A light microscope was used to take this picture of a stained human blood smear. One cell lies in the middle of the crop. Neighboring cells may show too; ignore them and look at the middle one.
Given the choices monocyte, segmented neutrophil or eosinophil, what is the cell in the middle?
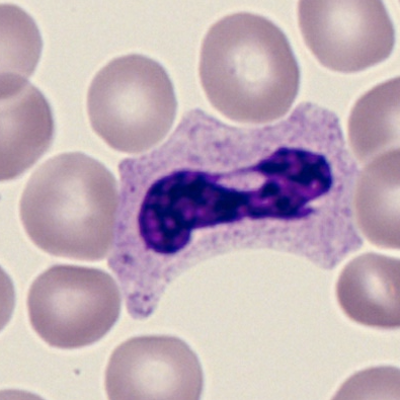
segmented neutrophil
